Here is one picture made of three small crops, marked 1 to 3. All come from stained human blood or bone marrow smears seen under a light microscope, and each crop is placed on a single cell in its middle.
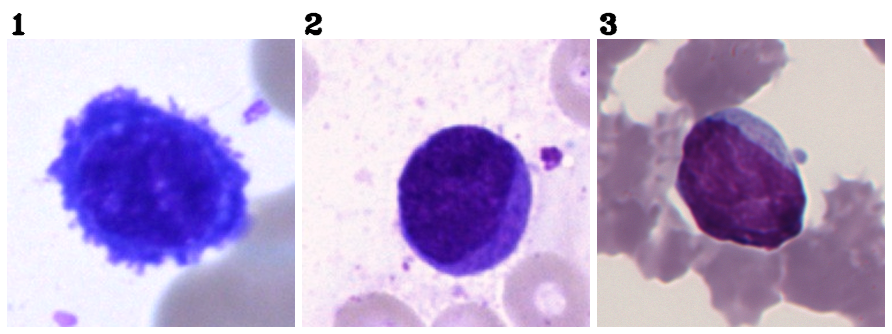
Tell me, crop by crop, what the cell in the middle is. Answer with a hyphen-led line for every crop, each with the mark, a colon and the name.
- 1: plasma cell
- 2: blast
- 3: blast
